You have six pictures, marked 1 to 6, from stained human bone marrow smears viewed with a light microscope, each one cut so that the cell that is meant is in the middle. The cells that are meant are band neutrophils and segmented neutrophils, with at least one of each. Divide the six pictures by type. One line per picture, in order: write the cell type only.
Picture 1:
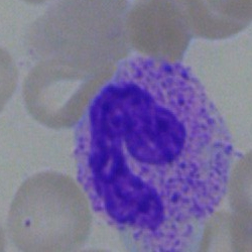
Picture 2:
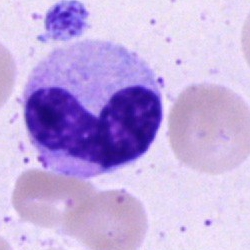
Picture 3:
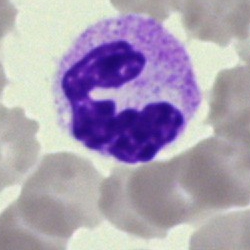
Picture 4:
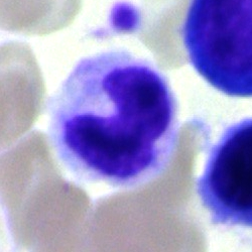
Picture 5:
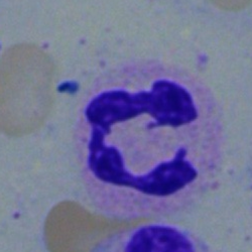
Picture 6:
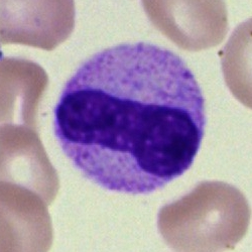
band neutrophil
band neutrophil
segmented neutrophil
band neutrophil
segmented neutrophil
band neutrophil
